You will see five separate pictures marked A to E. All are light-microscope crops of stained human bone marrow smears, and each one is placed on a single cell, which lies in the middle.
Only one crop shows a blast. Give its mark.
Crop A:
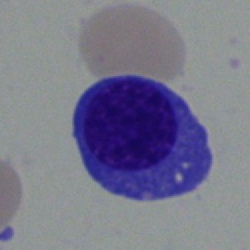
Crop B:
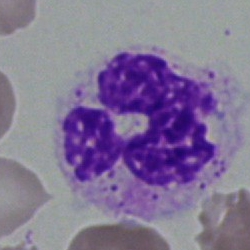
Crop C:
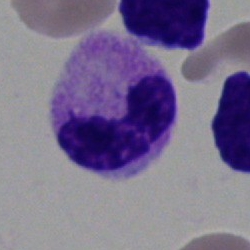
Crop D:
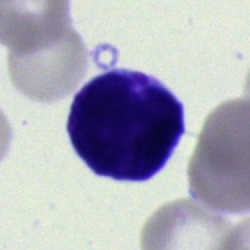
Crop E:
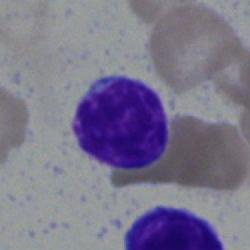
D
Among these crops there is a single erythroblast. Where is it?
A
